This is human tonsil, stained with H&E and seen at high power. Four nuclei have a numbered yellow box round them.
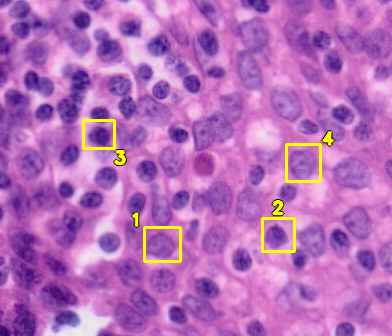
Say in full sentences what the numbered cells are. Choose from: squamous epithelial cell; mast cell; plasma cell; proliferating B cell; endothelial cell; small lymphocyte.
Cell 1 is a squamous epithelial cell, cell 2 is a squamous epithelial cell, cell 3 is a plasma cell and cell 4 is a squamous epithelial cell.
